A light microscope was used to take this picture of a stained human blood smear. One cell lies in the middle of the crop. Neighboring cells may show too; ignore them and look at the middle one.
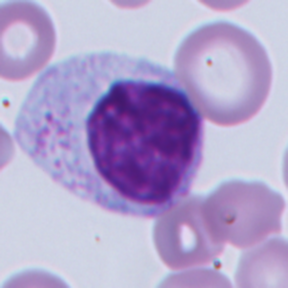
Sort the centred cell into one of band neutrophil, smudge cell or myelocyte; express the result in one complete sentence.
The middle of this crop holds a myelocyte.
